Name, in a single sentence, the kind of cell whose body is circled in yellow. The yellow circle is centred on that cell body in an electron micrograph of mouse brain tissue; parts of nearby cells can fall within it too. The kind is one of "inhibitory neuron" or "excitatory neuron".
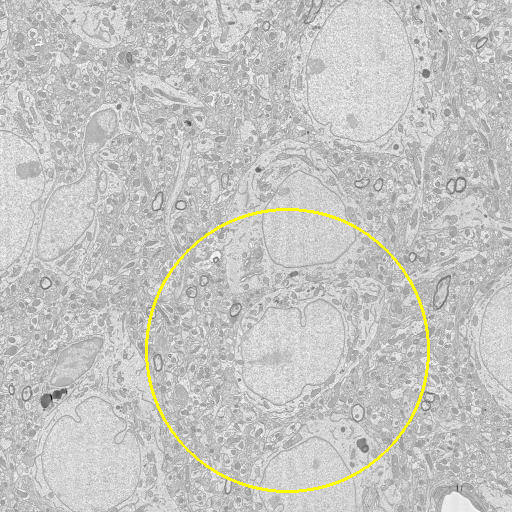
The circled cell body belongs to an inhibitory neuron.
